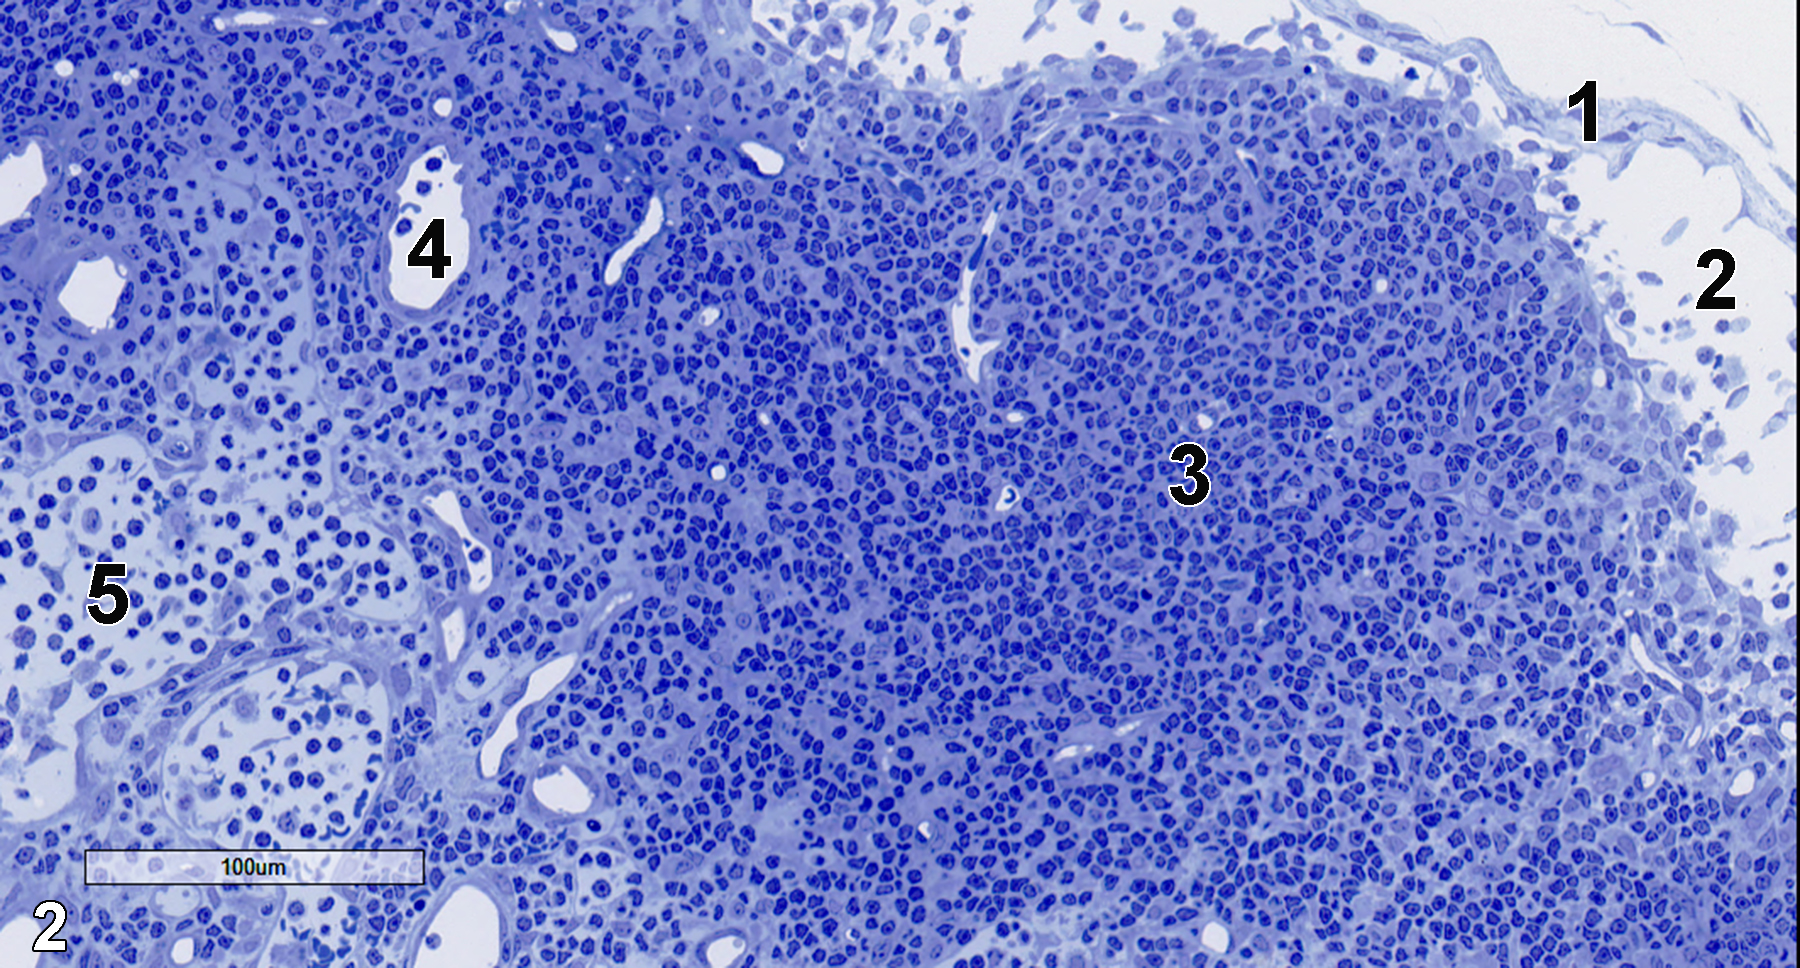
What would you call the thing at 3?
At 3: lymphocytes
